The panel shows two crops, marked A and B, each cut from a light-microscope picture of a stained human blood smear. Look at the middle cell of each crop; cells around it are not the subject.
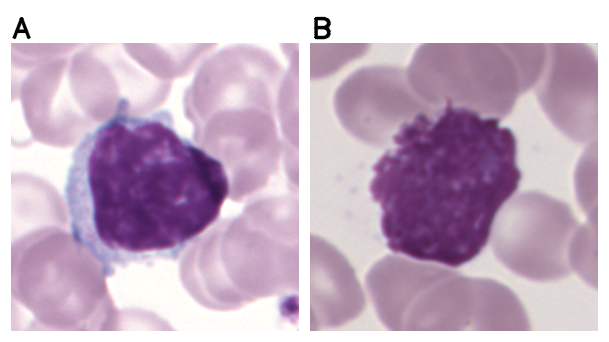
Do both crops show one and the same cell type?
no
